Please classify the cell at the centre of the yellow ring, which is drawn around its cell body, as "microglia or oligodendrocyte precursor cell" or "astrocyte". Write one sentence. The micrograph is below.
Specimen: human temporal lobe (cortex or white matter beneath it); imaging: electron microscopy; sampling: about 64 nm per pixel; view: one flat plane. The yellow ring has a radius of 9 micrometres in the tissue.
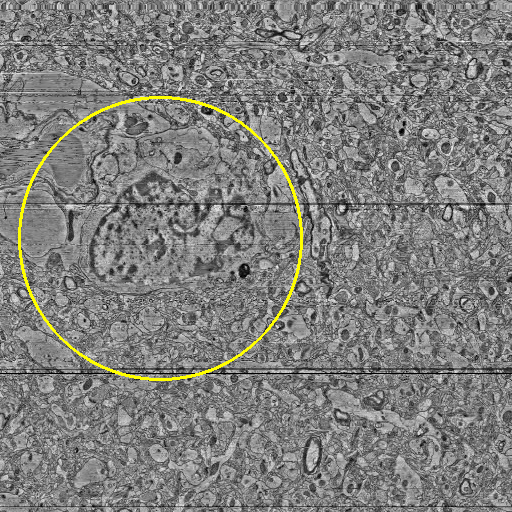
The cell at the ring's centre is classified as a microglial cell or oligodendrocyte precursor cell.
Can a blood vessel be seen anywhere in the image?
Yes, a blood vessel shows in the picture.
